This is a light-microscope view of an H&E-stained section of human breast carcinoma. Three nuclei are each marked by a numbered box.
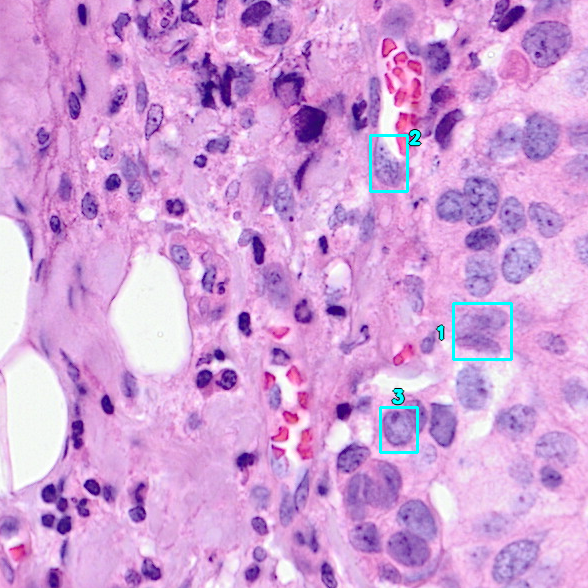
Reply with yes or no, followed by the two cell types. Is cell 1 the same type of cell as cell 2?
No, the cell numbered 1 is a carcinoma cell, and the cell numbered 2 is an endothelial cell.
